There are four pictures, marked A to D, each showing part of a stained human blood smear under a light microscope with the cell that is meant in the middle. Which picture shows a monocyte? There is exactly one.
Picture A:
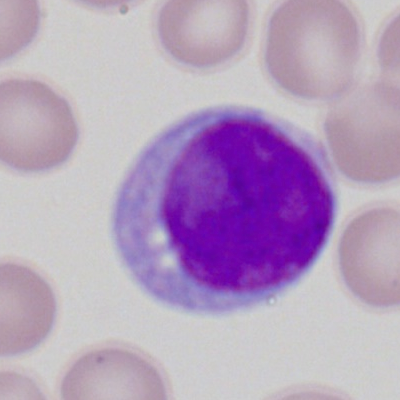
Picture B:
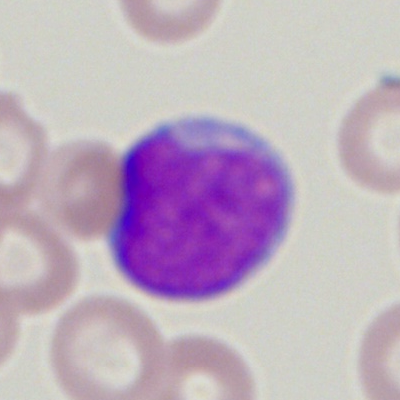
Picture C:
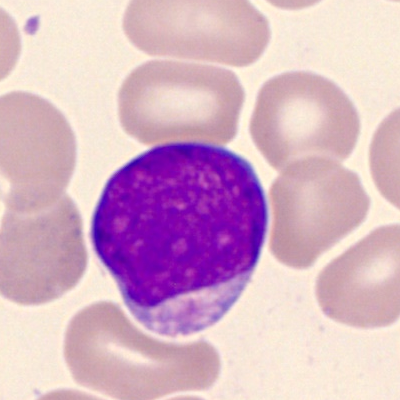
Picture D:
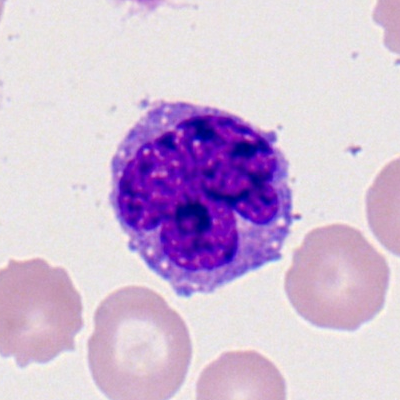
D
